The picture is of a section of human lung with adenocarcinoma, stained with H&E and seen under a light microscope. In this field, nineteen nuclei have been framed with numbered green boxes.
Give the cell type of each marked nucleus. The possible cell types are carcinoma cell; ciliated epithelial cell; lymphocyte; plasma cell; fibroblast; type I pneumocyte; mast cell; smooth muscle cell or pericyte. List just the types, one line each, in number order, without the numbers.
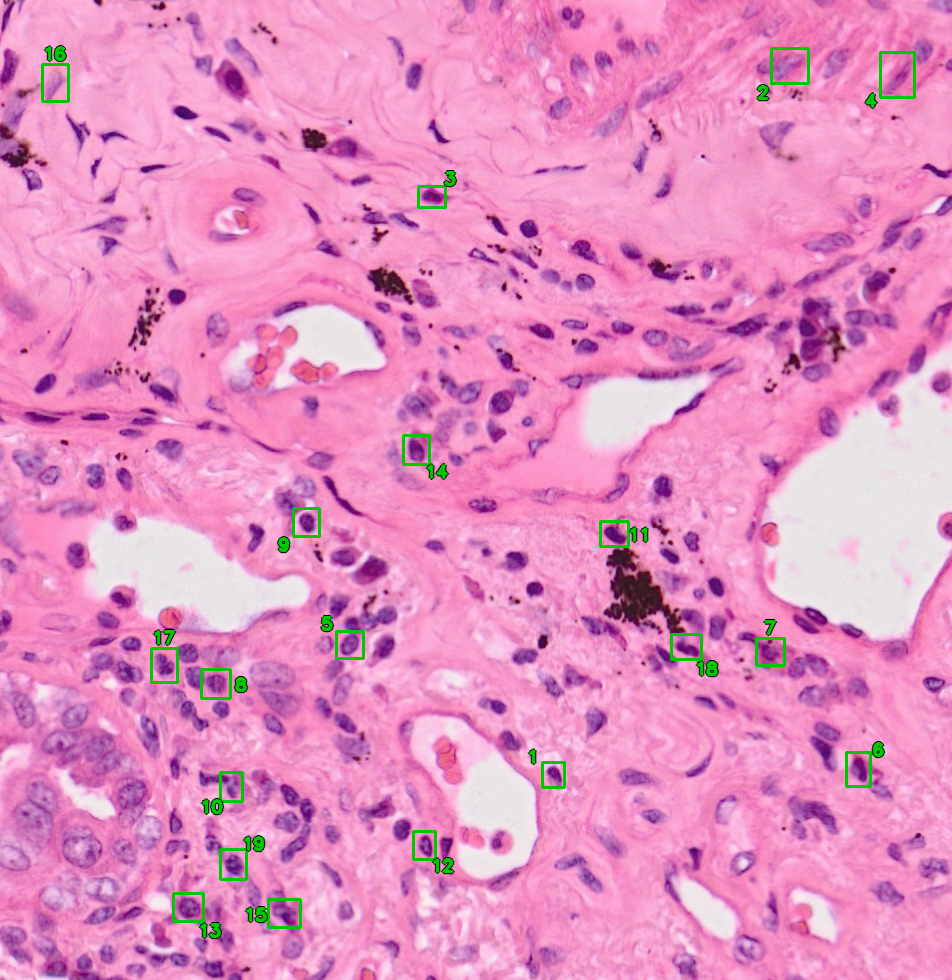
lymphocyte
smooth muscle cell or pericyte
plasma cell
smooth muscle cell or pericyte
lymphocyte
plasma cell
plasma cell
lymphocyte
lymphocyte
plasma cell
lymphocyte
mast cell
plasma cell
plasma cell
plasma cell
fibroblast
lymphocyte
plasma cell
lymphocyte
